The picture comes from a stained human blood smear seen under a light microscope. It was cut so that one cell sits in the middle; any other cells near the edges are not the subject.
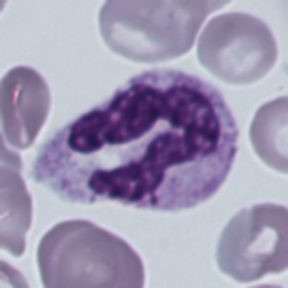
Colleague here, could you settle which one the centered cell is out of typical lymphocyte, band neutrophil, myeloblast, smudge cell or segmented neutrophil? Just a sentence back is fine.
In the center of this field lies a segmented neutrophil.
